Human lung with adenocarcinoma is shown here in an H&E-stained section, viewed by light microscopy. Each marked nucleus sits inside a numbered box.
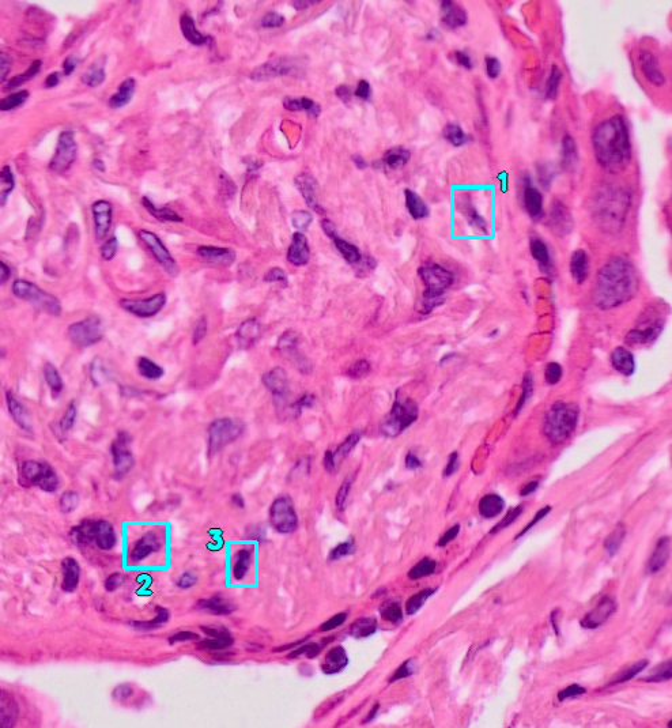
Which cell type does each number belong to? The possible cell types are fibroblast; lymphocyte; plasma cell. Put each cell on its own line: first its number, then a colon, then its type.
1: fibroblast
2: plasma cell
3: lymphocyte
